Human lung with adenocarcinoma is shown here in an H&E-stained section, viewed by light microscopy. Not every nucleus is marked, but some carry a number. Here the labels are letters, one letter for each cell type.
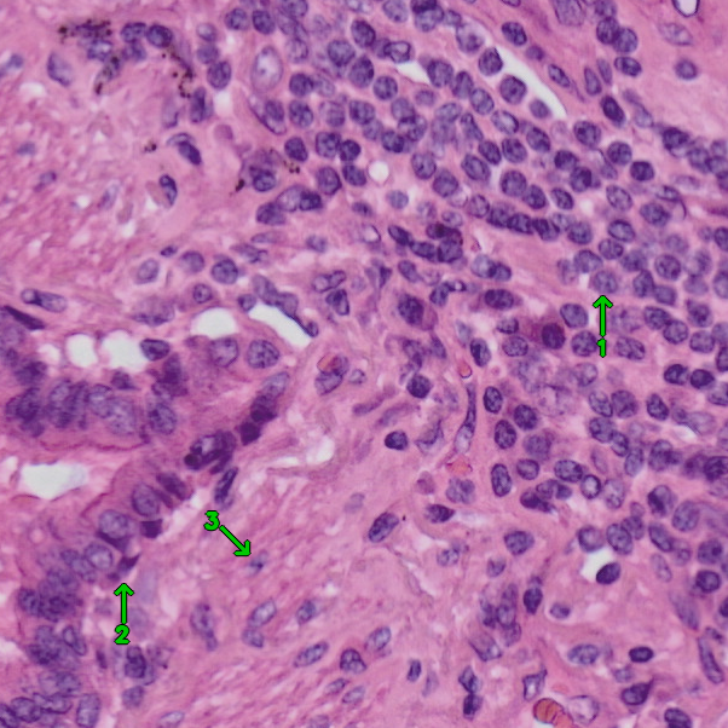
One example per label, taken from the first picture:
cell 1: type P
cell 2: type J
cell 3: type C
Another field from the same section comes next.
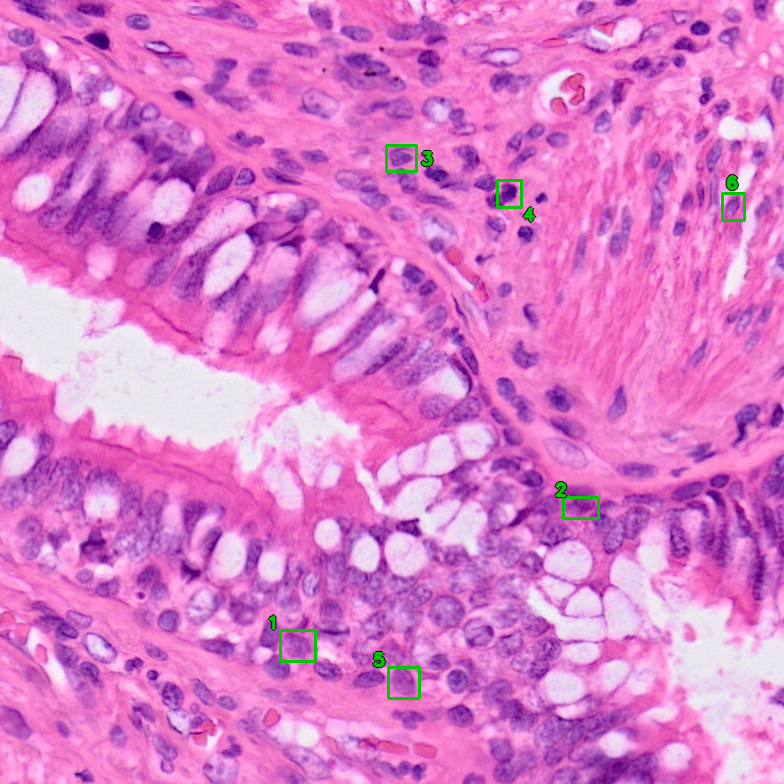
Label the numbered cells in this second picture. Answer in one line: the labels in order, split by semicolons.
type J; type J; type P; type P; type J; type C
